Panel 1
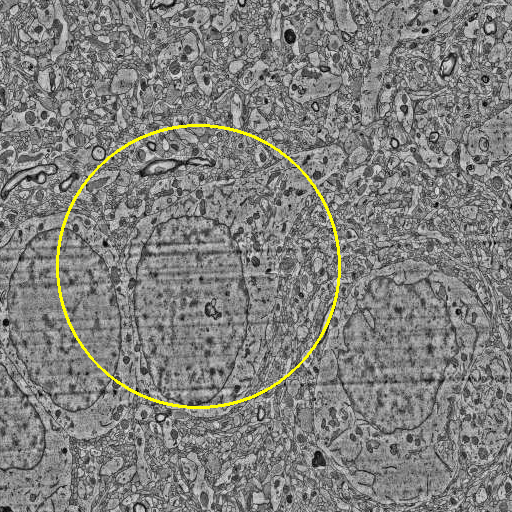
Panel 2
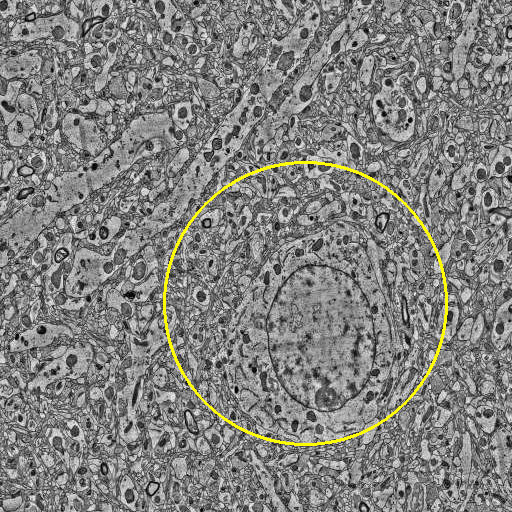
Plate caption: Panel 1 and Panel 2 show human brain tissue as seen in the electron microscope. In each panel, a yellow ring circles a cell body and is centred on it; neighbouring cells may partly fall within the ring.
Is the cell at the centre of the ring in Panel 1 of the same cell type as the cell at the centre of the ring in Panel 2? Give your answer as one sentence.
Yes, the two cells are of the same type.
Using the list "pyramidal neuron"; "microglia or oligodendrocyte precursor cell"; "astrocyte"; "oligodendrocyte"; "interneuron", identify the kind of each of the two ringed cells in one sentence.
In both pictures the ring is centred on a pyramidal neuron.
